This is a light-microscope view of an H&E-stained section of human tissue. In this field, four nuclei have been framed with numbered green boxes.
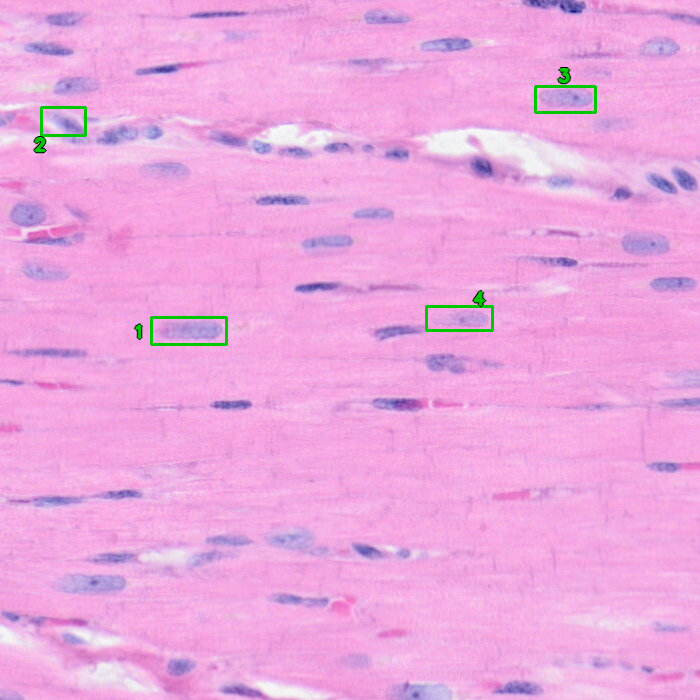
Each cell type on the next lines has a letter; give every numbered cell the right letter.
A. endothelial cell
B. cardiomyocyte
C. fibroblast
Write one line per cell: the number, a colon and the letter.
1: B
2: C
3: B
4: B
